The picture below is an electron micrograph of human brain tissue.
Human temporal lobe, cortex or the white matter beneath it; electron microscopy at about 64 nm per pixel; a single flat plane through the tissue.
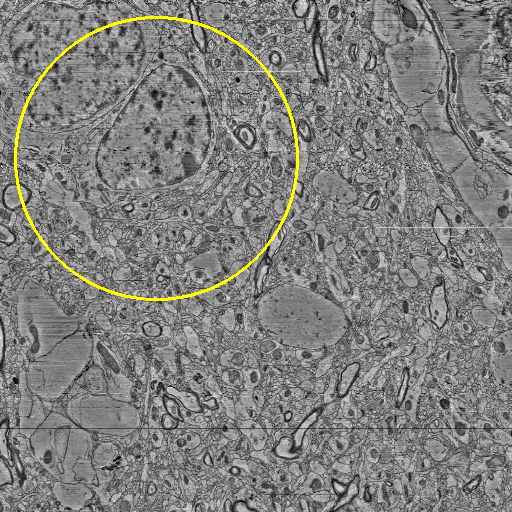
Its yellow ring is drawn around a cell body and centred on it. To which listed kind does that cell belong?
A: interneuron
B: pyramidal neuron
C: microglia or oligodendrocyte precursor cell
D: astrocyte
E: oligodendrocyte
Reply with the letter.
C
